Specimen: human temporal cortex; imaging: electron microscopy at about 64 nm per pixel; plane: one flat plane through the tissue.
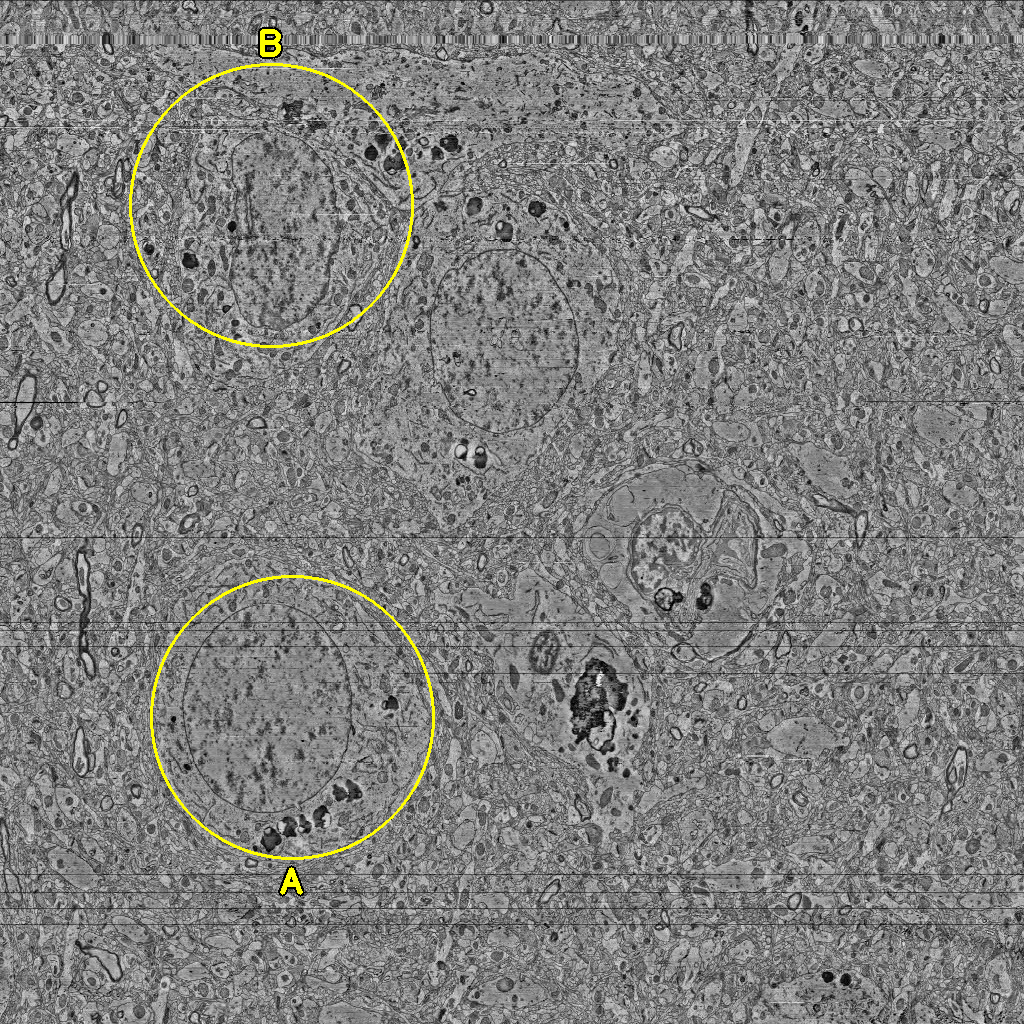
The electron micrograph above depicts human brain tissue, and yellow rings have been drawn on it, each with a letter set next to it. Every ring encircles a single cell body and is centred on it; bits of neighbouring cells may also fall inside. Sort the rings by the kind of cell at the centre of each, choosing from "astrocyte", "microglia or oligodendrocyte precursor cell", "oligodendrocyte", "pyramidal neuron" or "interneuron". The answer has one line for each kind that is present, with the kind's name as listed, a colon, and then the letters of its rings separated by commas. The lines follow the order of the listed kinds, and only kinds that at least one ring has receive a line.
pyramidal neuron: A
interneuron: B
